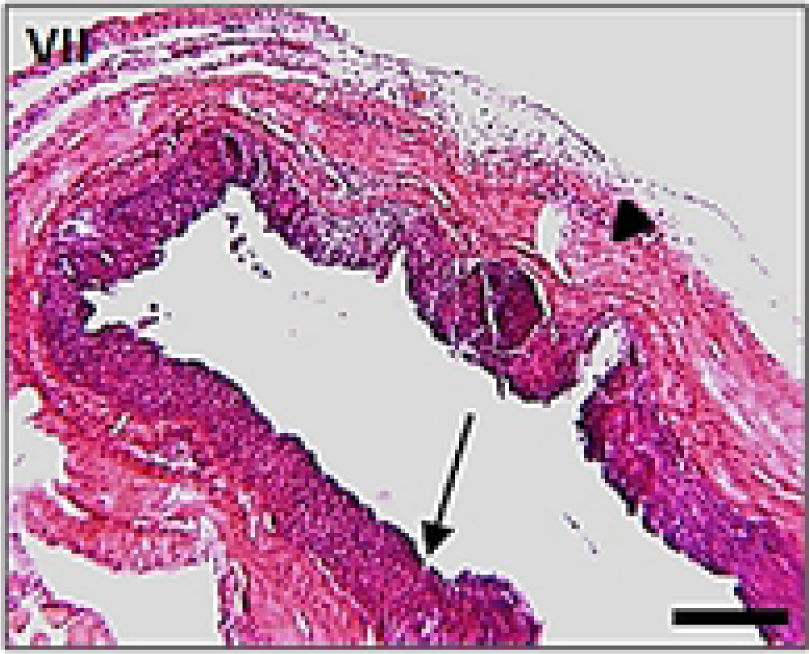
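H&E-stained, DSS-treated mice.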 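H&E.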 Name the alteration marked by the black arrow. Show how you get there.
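The mucosa lacks the regular rows of crypts seen in normal colon. That points to this answer: almost complete loss of colonic epithelium.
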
